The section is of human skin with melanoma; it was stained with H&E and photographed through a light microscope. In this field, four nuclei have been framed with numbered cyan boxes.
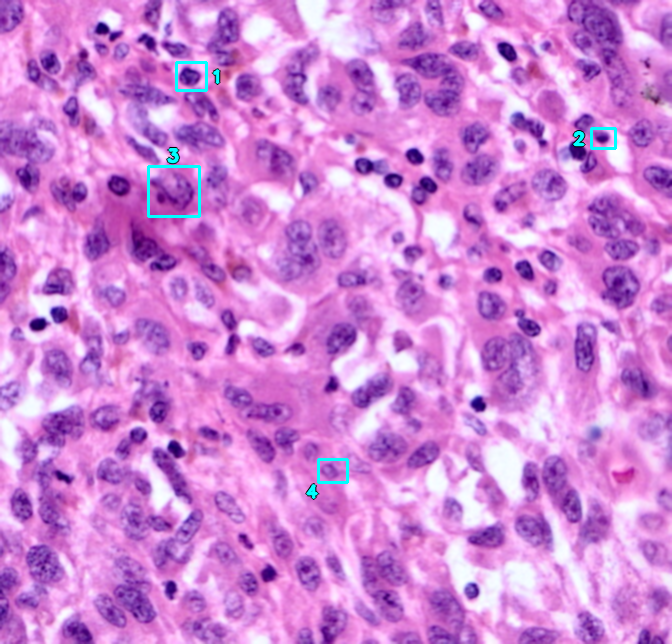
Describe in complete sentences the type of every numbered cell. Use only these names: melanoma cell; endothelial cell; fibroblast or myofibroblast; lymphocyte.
Cell 1 is a lymphocyte, cell 2 is a lymphocyte, cell 3 is a melanoma cell and cell 4 is a melanoma cell.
